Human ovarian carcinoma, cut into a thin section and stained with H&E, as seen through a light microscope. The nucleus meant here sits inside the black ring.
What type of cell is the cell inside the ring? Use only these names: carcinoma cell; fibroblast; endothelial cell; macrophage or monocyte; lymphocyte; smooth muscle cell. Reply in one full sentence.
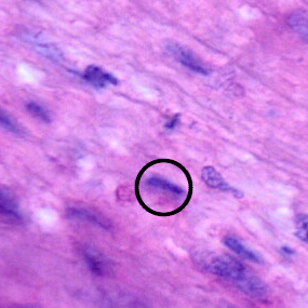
In this section, the cell inside the ring is a macrophage or monocyte.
